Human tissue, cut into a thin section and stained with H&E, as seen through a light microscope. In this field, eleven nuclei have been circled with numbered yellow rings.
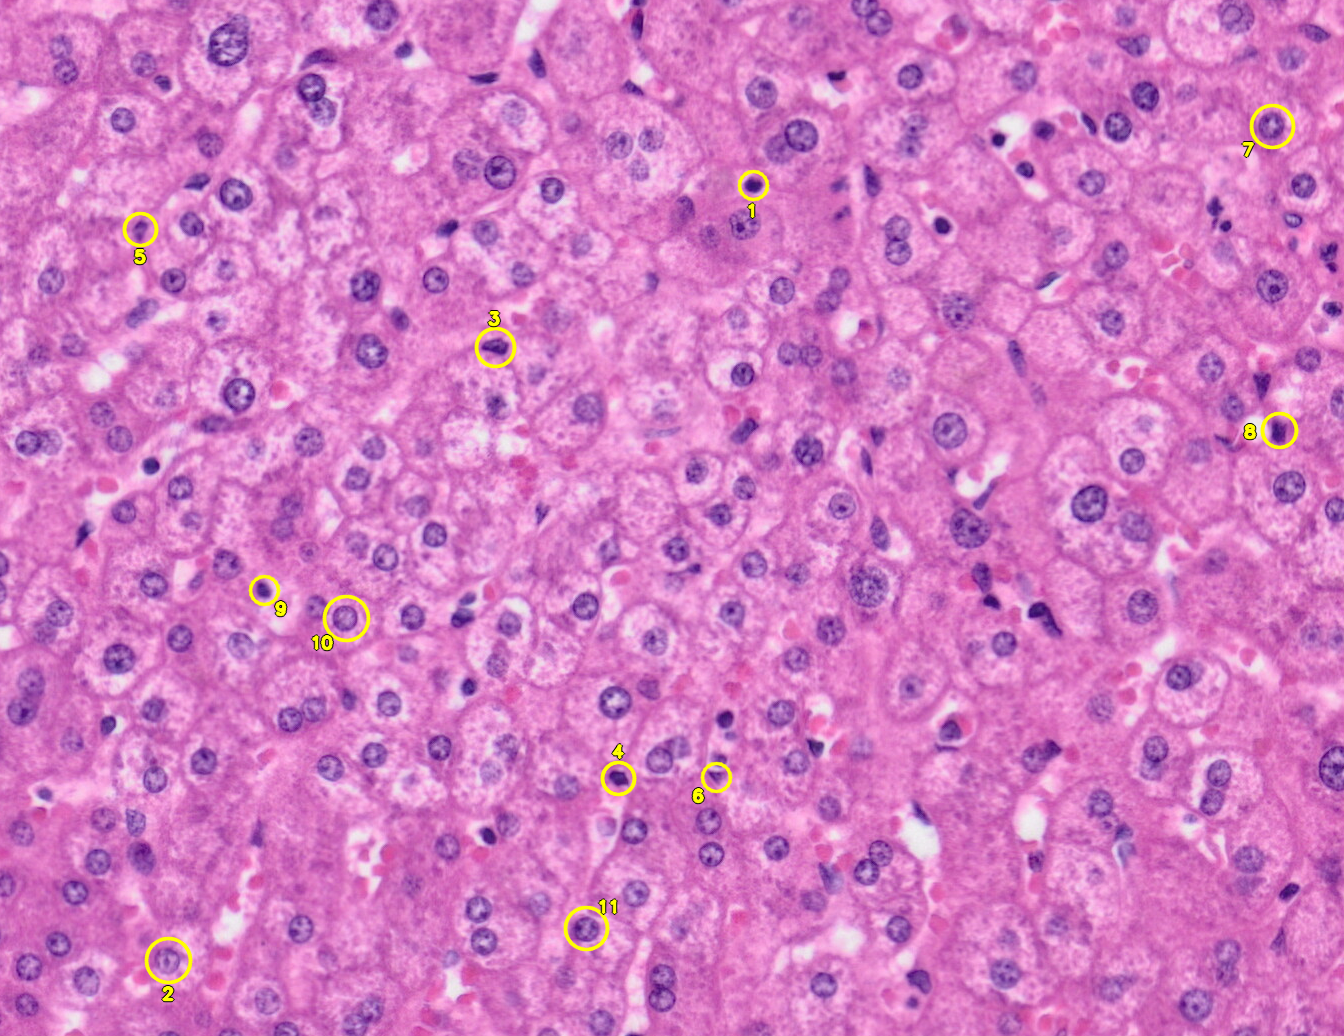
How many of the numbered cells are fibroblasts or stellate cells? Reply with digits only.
5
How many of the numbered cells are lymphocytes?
2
